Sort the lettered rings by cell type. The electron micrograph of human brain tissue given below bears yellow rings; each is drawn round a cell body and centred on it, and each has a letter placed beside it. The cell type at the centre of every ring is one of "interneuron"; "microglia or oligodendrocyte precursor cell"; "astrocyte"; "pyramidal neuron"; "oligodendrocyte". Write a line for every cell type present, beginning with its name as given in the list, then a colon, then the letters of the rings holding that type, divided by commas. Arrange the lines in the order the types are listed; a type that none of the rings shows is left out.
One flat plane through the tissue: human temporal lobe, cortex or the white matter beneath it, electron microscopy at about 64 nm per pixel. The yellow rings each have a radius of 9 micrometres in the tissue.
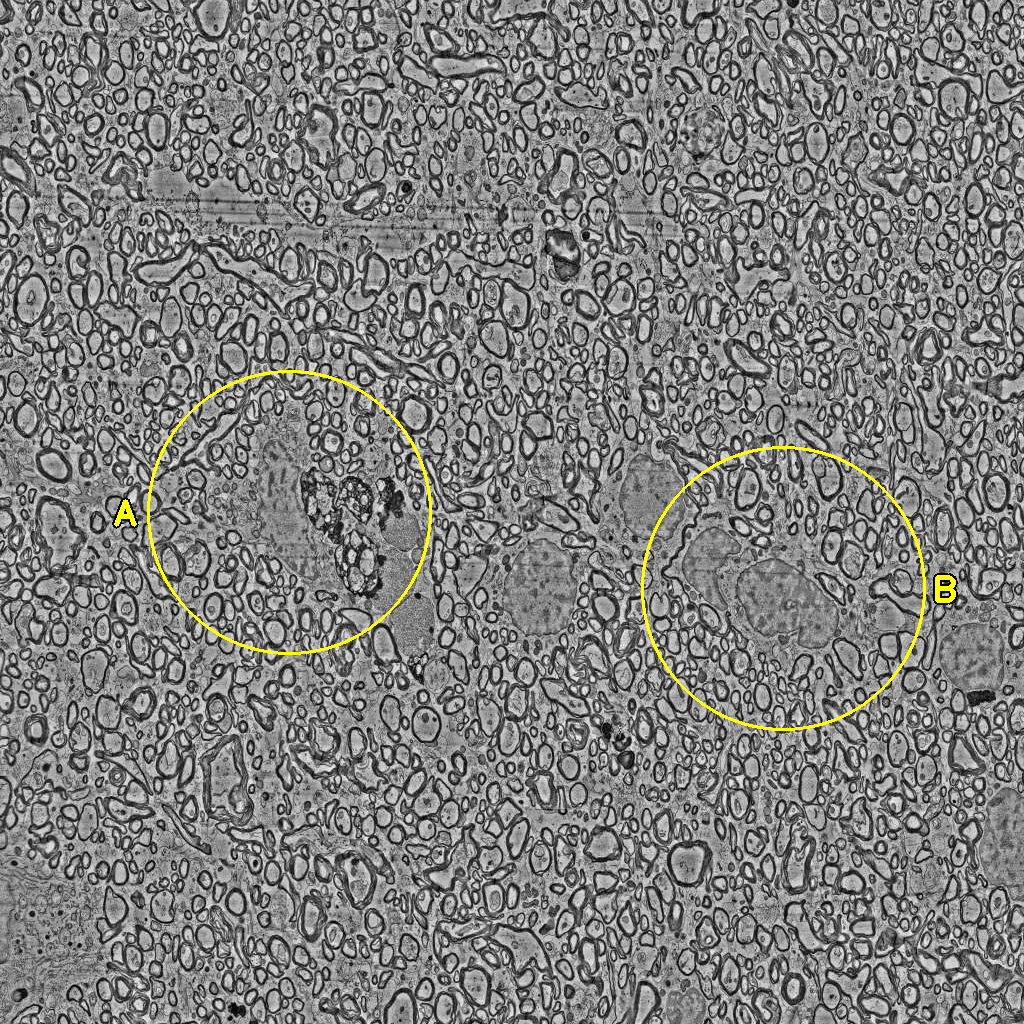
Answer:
astrocyte: A
oligodendrocyte: B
